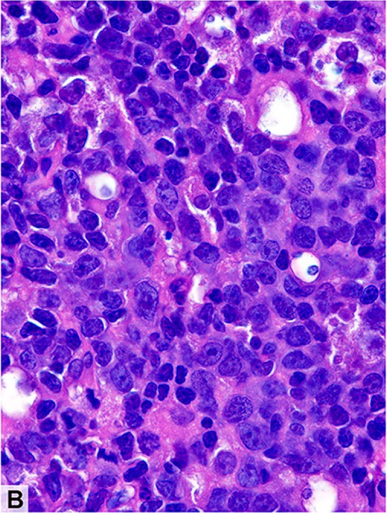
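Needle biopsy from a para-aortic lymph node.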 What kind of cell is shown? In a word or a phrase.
Large, atypical lymphocytes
